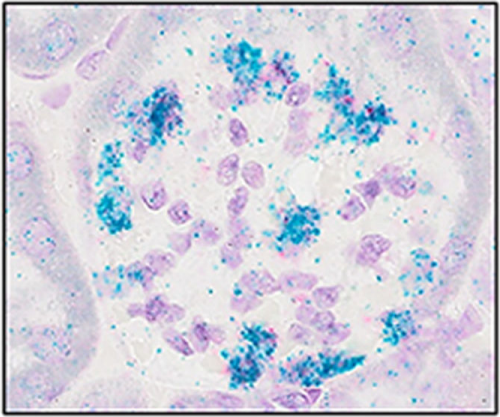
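This is a glomerulus of the kidney, with its tuft of capillary loops sitting inside a thin capsule, and cut tubules around the outside. Over a number of cells at the outer edge of the loops, dense clusters of blue-green dots sit on the cells. These clusters lie at the outer surface of the tuft, where podocytes cover the capillaries, facing the clear space inside the capsule. Outside the tuft only a few scattered blue-green dots are seen over the tubule cells.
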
